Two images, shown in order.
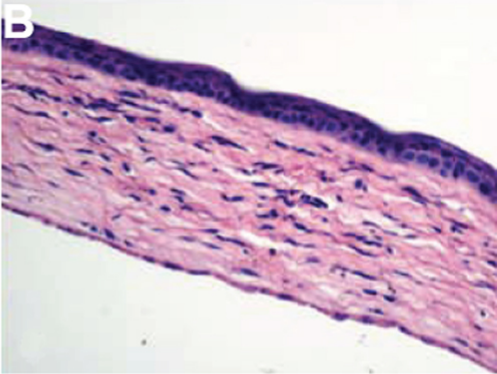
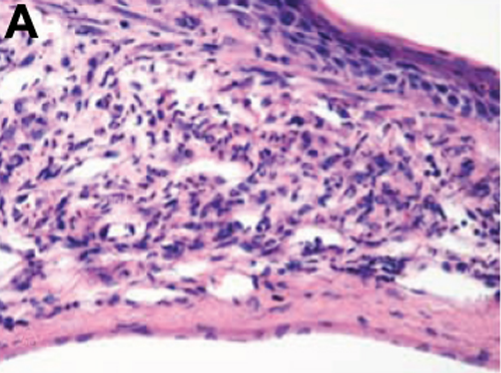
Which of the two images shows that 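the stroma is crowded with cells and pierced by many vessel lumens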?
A: The second image.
